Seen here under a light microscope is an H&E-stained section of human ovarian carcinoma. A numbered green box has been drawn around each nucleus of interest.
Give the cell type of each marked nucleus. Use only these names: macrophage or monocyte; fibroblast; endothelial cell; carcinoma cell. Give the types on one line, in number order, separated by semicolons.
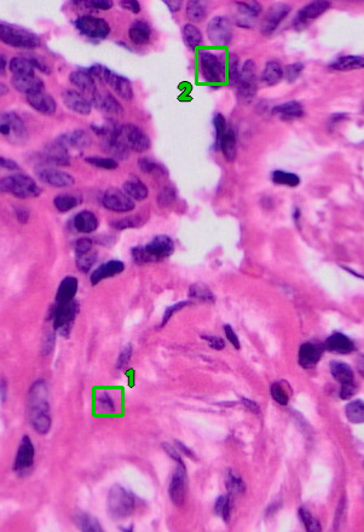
fibroblast; carcinoma cell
